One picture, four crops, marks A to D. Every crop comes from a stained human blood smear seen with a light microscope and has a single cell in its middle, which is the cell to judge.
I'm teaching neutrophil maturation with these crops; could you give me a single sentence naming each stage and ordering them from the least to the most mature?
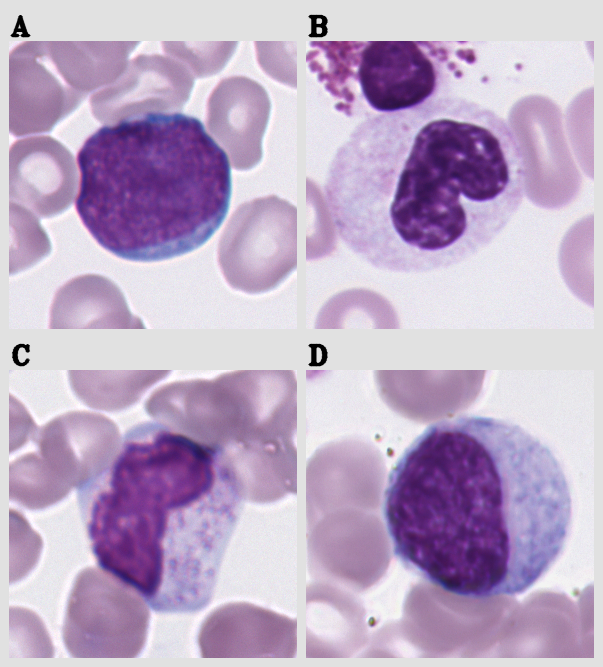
In rising order of maturity, the crops are crop A (a myeloblast), crop D (a promyelocyte), crop C (a myelocyte) and crop B (a band neutrophil).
